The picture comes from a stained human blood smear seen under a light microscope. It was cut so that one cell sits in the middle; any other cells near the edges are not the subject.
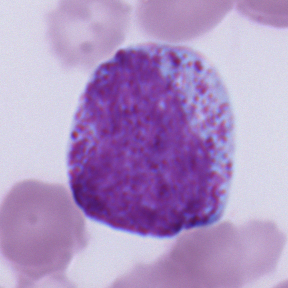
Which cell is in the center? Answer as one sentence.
The center cell of this crop is a myelocyte.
